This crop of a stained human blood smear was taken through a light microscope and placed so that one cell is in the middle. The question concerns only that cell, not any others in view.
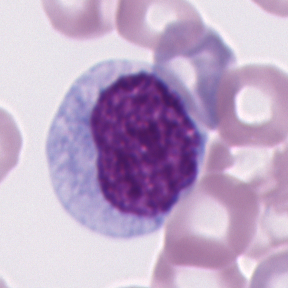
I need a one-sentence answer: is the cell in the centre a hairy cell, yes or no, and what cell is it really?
No, the central cell is reported as a monocyte rather than as a hairy cell.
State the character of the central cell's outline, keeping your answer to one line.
Happy to help: the outline is smooth and shows no projections.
